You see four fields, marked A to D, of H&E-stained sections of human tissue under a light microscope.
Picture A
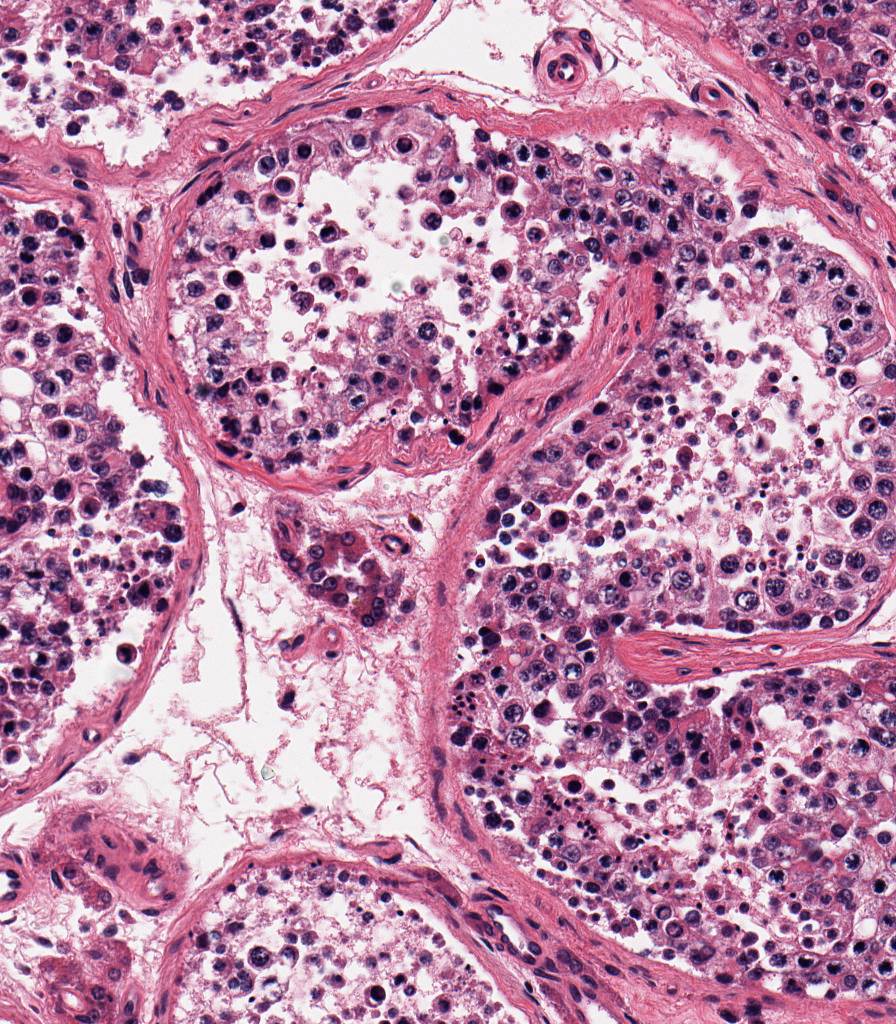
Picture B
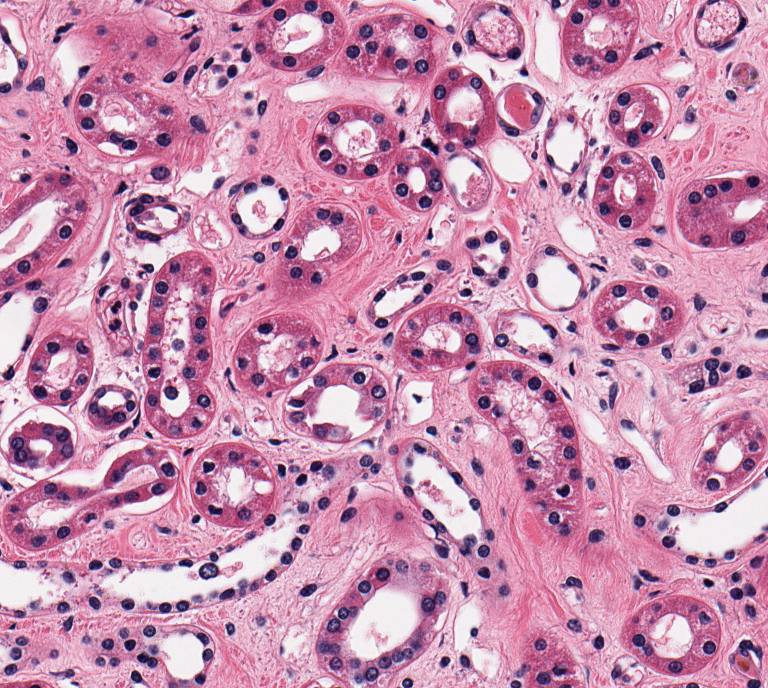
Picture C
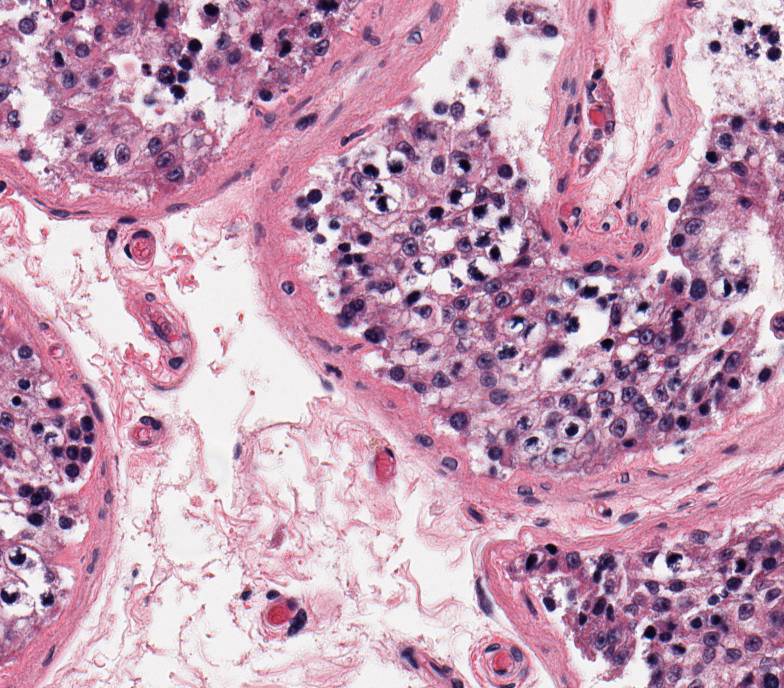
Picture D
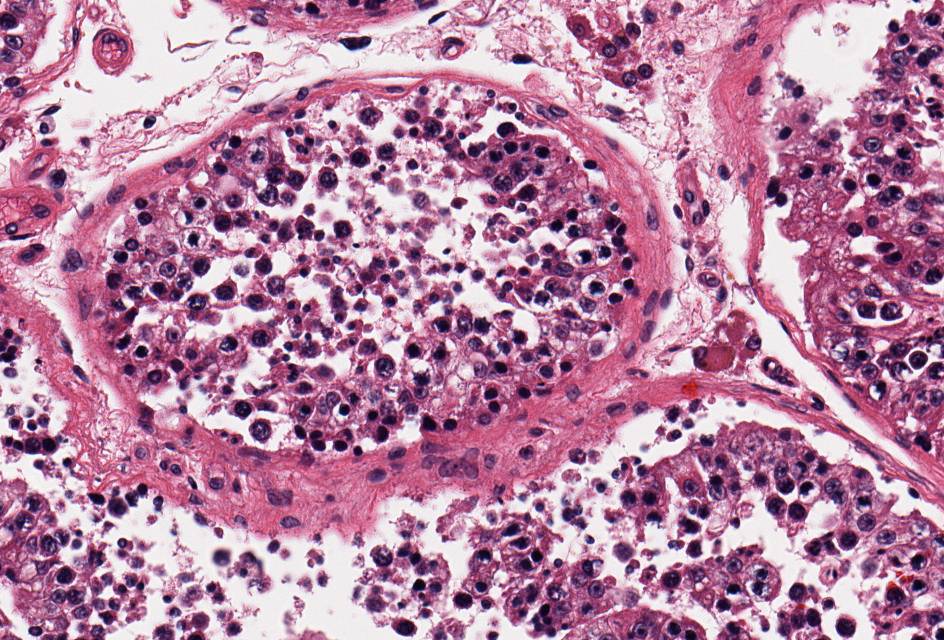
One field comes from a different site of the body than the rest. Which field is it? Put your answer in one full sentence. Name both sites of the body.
Picture B is the odd one out: it comes from the renal medulla, while the others come from the testis.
